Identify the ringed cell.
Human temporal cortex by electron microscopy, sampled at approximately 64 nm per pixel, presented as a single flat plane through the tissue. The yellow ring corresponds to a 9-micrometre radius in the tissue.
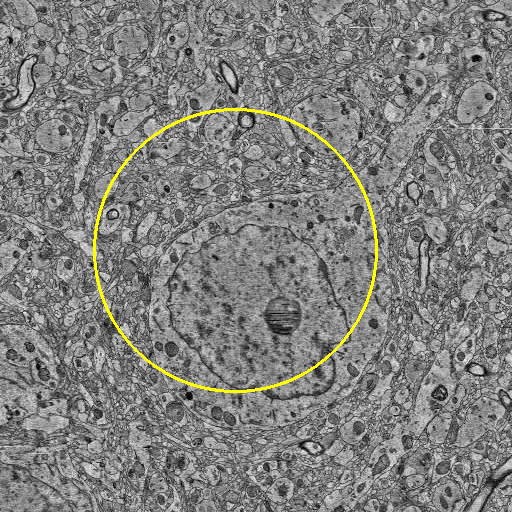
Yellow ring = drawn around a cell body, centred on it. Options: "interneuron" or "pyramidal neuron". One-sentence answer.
What the ring is centred on is a pyramidal neuron.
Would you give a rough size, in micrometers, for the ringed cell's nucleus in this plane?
In this plane, roughly 13 by 10 micrometres.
